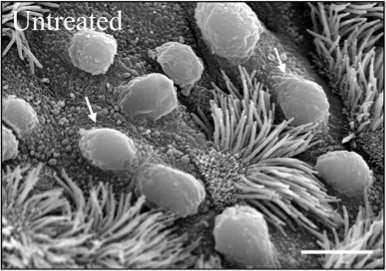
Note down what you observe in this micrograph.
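This surface view of bronchiolar epithelium shows ciliated cells and non-ciliated Clara cells side by side. The Clara cells bulge into the lumen as smooth, rounded to slightly elongated domes without cilia. Between them, ciliated cells carry dense tufts of long, slender cilia that splay out over the surface. The flat apical surface between the cells is covered with small knob-like microvilli.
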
